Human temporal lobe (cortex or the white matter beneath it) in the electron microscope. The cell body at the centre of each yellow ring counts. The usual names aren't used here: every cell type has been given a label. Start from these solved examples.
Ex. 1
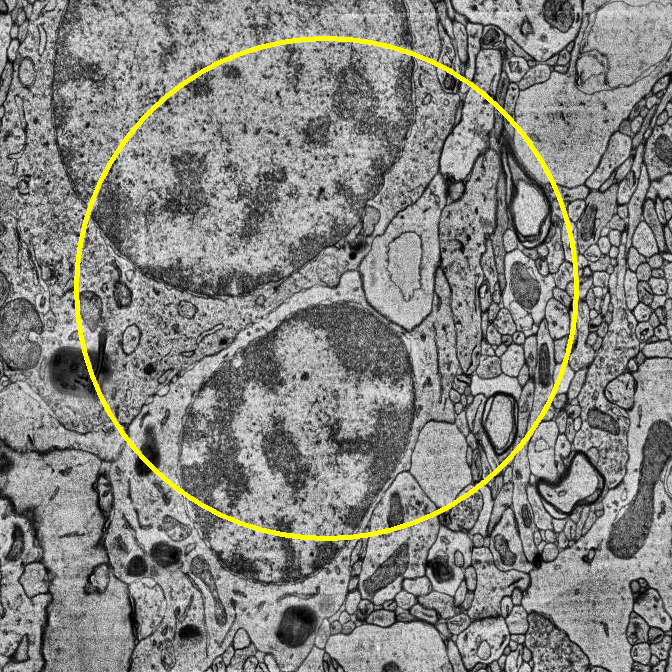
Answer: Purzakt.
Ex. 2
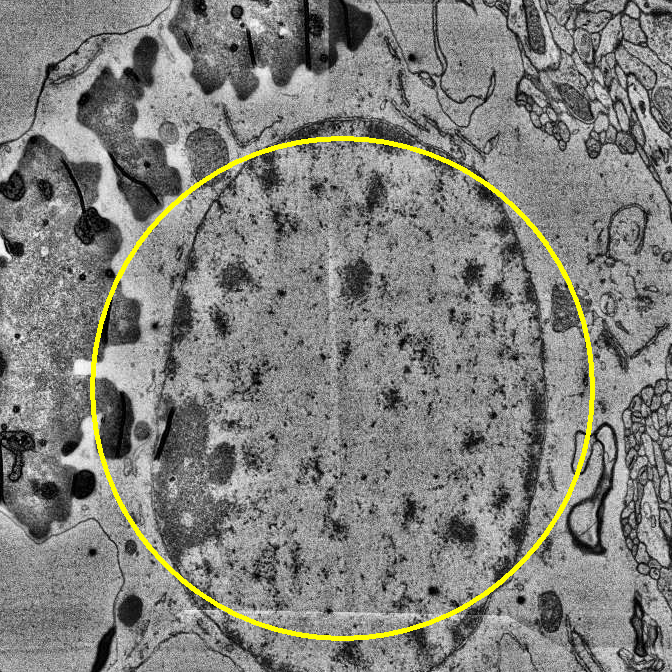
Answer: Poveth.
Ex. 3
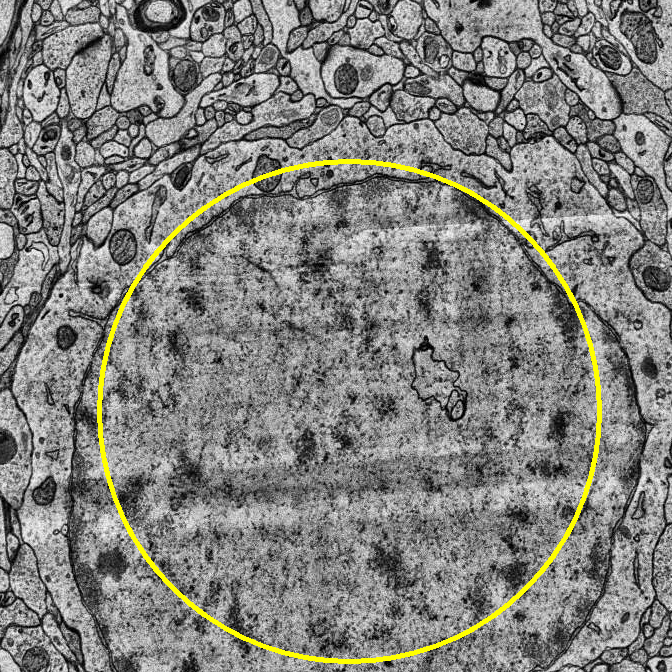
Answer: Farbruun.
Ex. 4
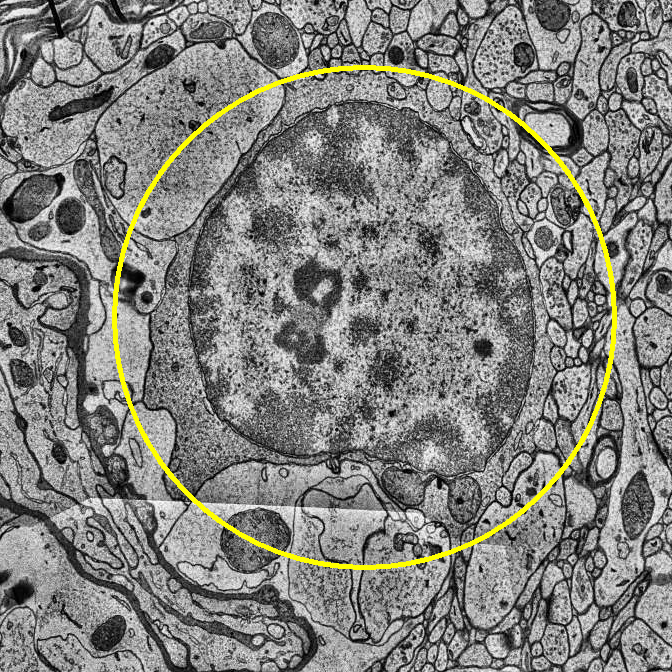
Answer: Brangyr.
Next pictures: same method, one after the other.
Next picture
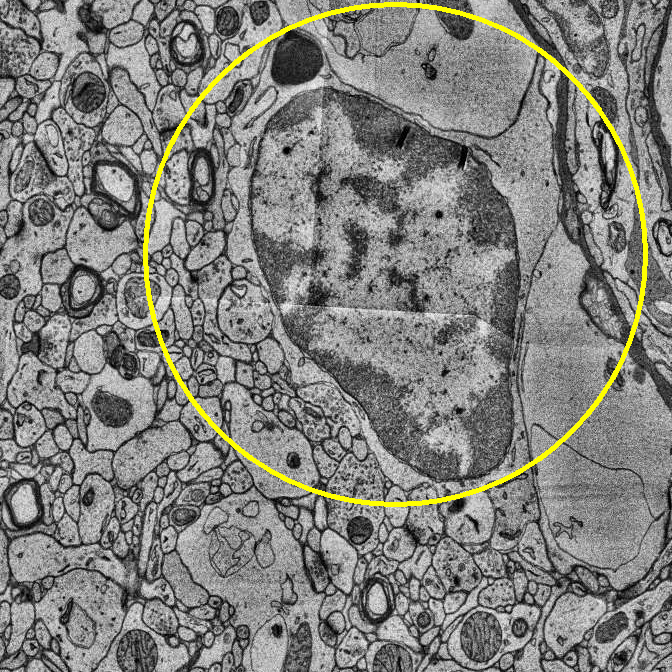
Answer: Purzakt.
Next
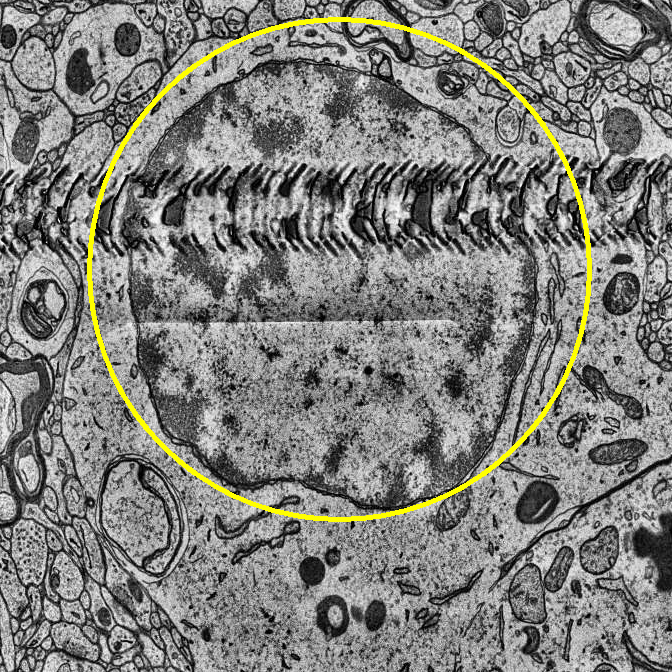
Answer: Purzakt.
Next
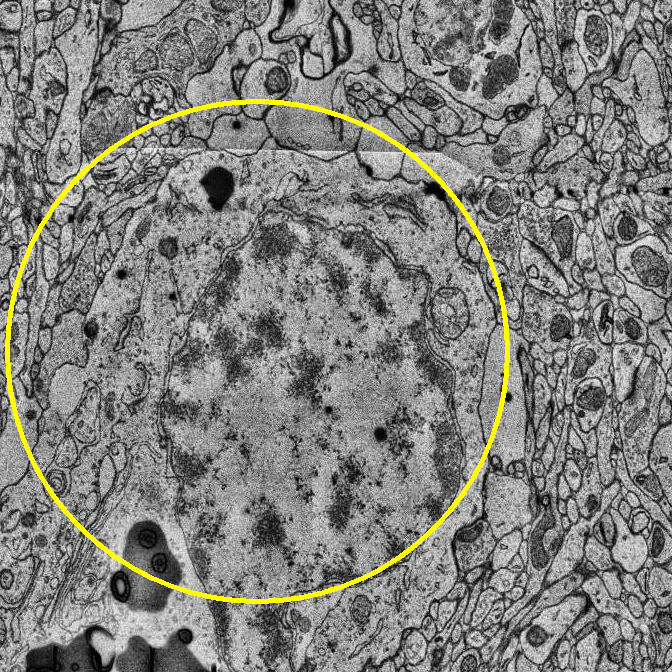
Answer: Farbruun.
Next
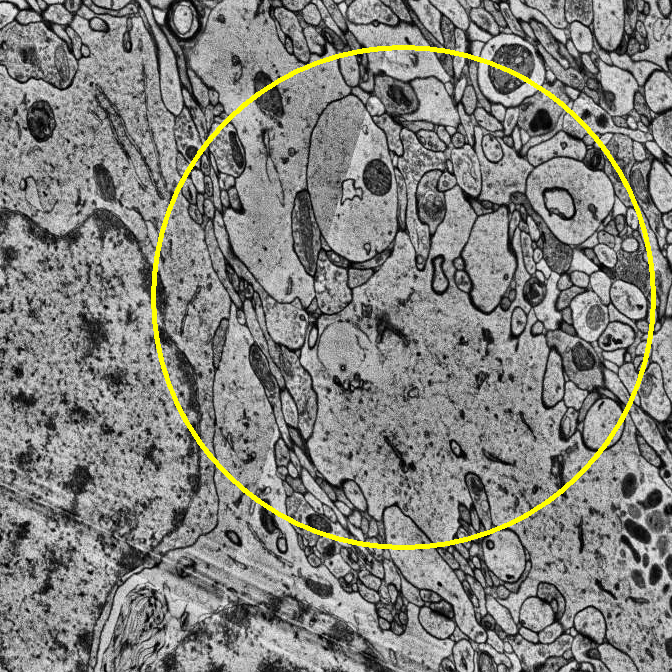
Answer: Poveth.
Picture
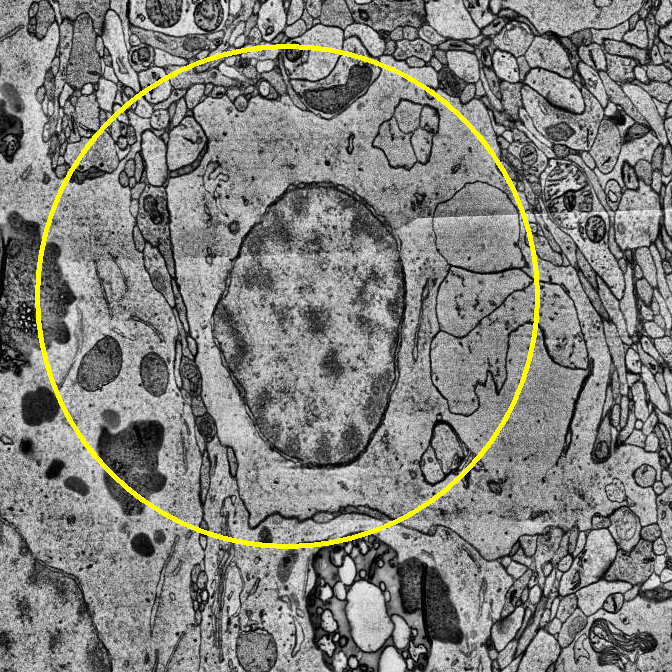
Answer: Poveth.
